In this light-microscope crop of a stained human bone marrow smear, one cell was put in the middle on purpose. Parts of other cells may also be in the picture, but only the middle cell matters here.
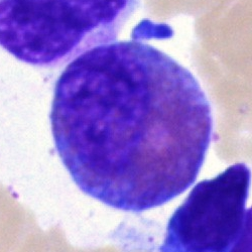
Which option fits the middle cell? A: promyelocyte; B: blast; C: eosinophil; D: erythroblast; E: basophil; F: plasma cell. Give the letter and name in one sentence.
That the central cell is an eosinophil makes option C correct.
